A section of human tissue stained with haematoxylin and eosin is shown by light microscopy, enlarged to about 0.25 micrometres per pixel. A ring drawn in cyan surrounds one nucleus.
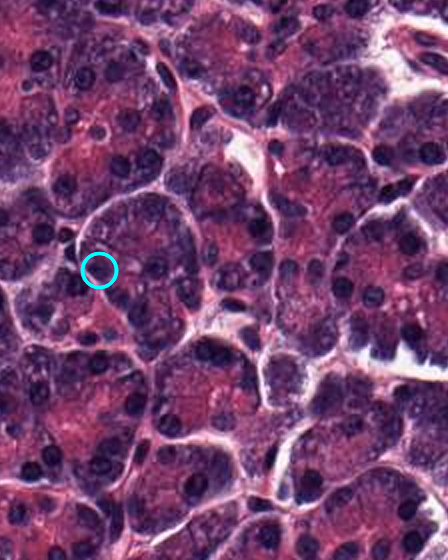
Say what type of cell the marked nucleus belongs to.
pancreatic acinar cell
